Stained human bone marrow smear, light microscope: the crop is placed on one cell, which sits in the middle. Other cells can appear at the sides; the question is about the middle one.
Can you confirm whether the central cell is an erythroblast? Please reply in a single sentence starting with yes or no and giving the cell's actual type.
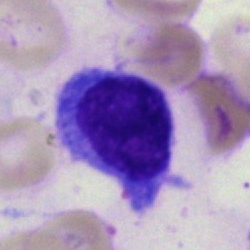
No, the cell in the centre is to be called a lymphocyte instead of an erythroblast.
